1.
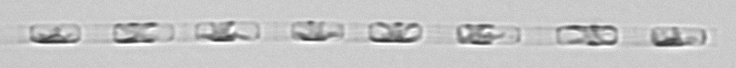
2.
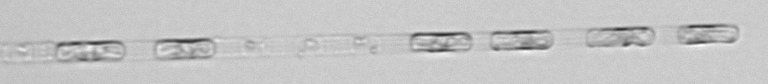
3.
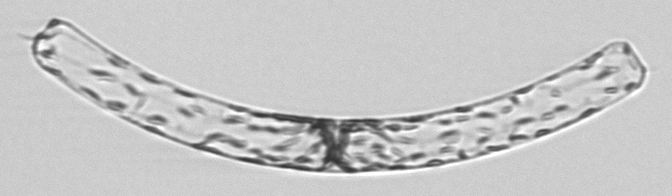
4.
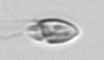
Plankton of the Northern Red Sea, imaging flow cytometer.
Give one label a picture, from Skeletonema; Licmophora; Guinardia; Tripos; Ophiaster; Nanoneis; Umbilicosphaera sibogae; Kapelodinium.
(1) Skeletonema
(2) Skeletonema
(3) Guinardia
(4) Kapelodinium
